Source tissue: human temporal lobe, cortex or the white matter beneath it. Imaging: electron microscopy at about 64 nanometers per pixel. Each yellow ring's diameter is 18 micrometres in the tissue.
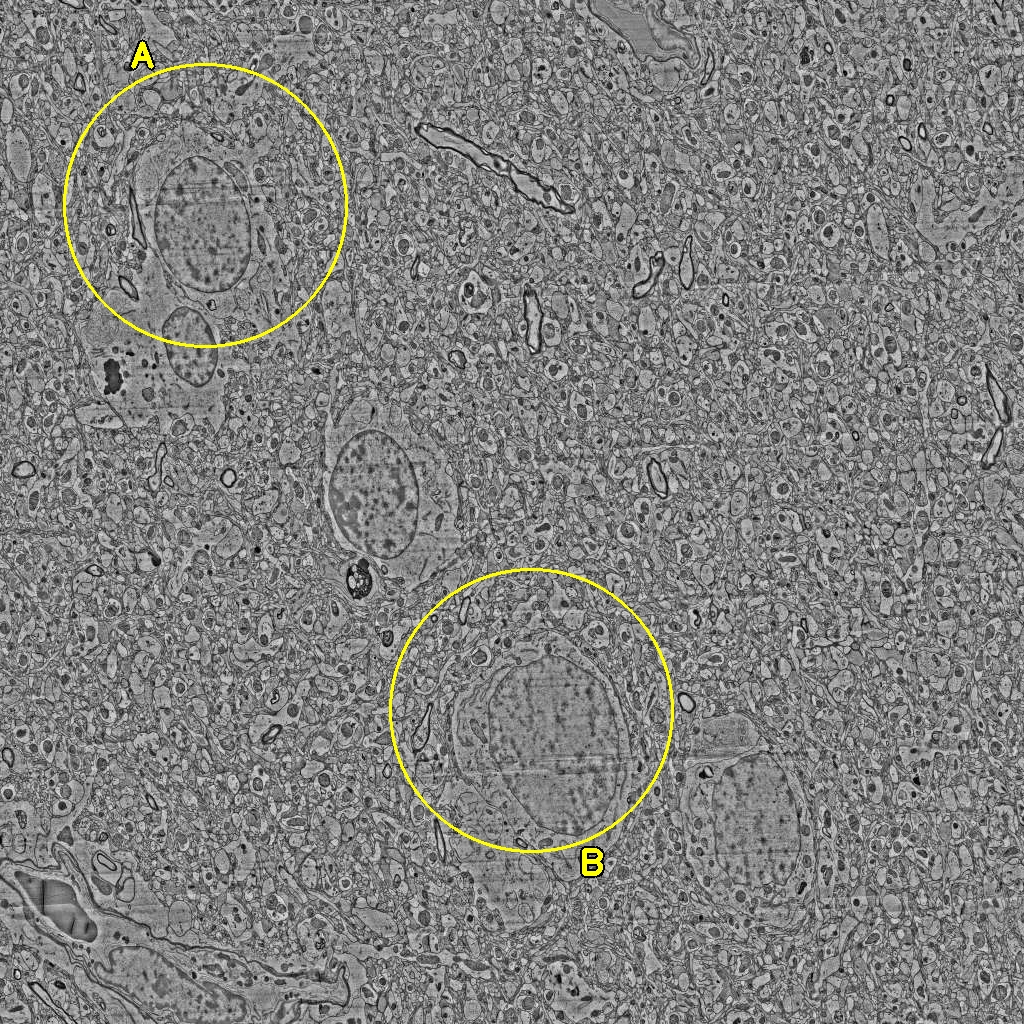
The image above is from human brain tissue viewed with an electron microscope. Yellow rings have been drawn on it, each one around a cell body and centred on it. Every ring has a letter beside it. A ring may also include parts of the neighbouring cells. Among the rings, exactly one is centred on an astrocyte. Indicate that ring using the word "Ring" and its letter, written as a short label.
Ring A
